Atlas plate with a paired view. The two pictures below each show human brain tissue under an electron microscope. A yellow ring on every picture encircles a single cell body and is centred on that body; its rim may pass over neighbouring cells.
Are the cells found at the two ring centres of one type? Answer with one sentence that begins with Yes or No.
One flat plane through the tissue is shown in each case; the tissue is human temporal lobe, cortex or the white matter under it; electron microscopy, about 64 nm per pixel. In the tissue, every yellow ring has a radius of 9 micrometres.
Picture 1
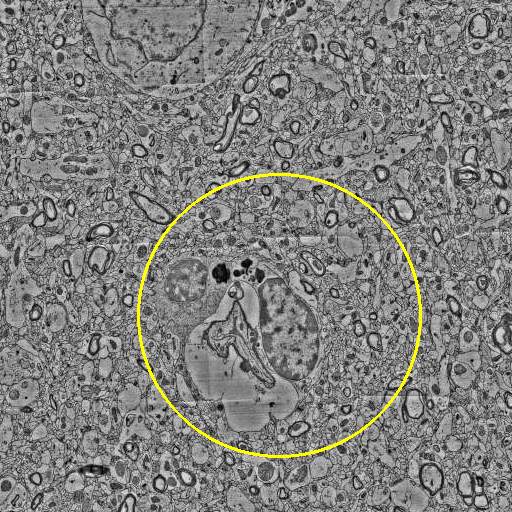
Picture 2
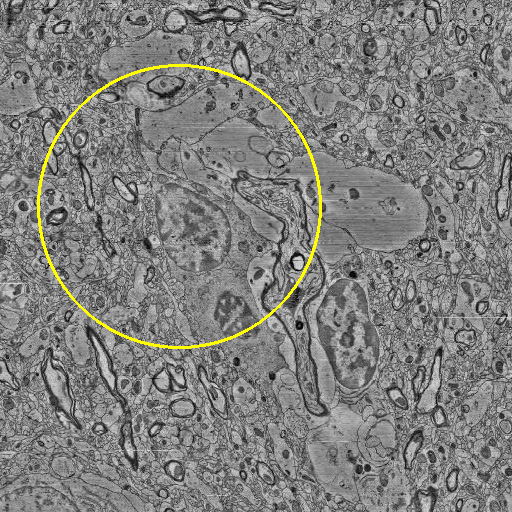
No, the two cells lying at the centres of the rings are of two types.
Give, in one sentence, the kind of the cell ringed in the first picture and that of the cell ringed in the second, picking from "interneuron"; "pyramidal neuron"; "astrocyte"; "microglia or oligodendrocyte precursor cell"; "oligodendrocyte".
For the first picture it is a microglial cell or oligodendrocyte precursor cell; for the second, an oligodendrocyte.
